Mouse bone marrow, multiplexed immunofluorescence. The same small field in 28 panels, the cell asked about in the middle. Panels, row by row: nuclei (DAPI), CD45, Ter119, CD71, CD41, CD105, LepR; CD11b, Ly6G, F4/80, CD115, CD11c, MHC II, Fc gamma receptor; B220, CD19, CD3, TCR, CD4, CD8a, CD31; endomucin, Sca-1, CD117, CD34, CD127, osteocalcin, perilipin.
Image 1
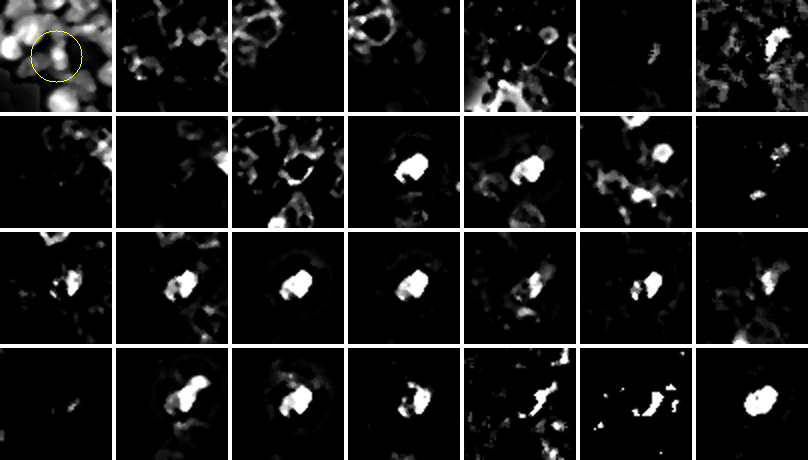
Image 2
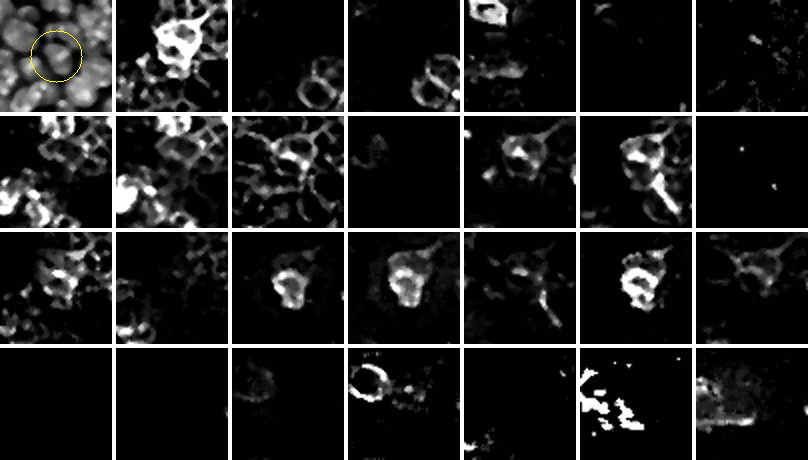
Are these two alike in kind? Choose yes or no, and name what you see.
No. First a double-negative T cell, second a CD8 T cell.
